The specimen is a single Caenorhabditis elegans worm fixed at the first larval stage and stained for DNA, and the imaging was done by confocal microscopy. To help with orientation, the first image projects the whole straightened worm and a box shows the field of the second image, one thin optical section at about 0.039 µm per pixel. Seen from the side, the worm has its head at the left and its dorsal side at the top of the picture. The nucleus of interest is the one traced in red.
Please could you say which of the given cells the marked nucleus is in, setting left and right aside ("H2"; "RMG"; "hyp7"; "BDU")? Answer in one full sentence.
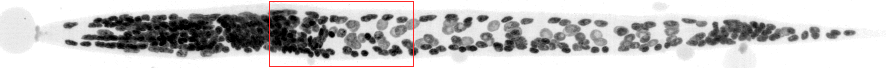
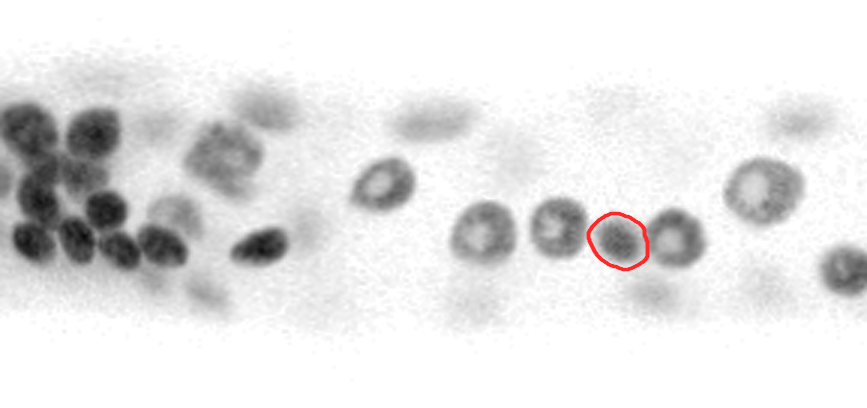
The marked nucleus belongs to BDU, a neuron.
